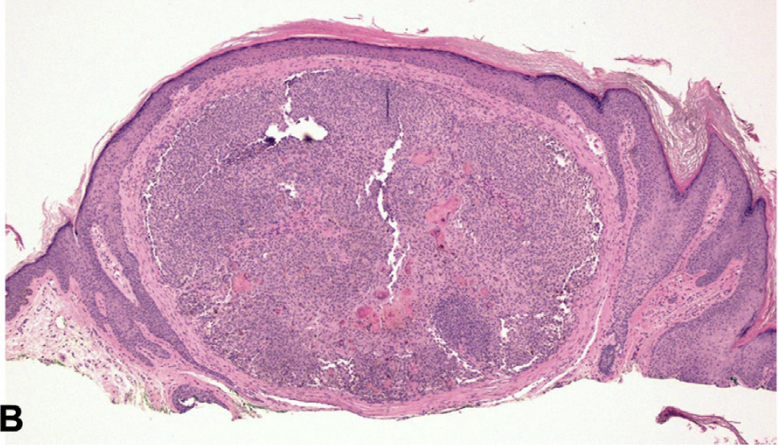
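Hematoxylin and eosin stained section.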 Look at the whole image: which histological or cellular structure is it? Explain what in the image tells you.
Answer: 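A single rounded, sharply bordered nodule lies beneath the epidermis. The nodule is made of densely packed cells with dark blue nuclei. A thin pink fibrous rim separates the nodule from the surrounding dermis.
Answer: circumscribed basaloid dermal nodule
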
